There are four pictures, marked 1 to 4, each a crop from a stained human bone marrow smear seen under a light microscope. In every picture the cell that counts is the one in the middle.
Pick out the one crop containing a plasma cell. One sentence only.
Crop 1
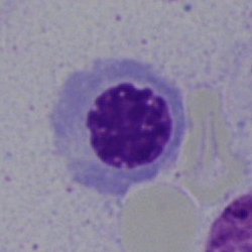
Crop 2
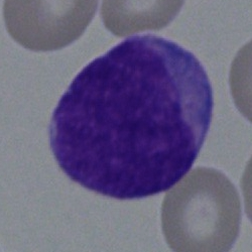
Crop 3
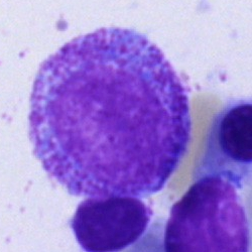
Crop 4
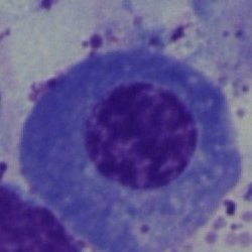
Crop 4 is the one in the set with a plasma cell at the center.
